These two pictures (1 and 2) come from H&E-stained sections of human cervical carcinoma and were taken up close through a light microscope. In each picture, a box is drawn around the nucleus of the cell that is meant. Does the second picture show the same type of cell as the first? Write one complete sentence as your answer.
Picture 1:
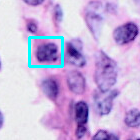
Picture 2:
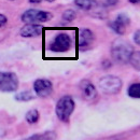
Yes, both are lymphocytes.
